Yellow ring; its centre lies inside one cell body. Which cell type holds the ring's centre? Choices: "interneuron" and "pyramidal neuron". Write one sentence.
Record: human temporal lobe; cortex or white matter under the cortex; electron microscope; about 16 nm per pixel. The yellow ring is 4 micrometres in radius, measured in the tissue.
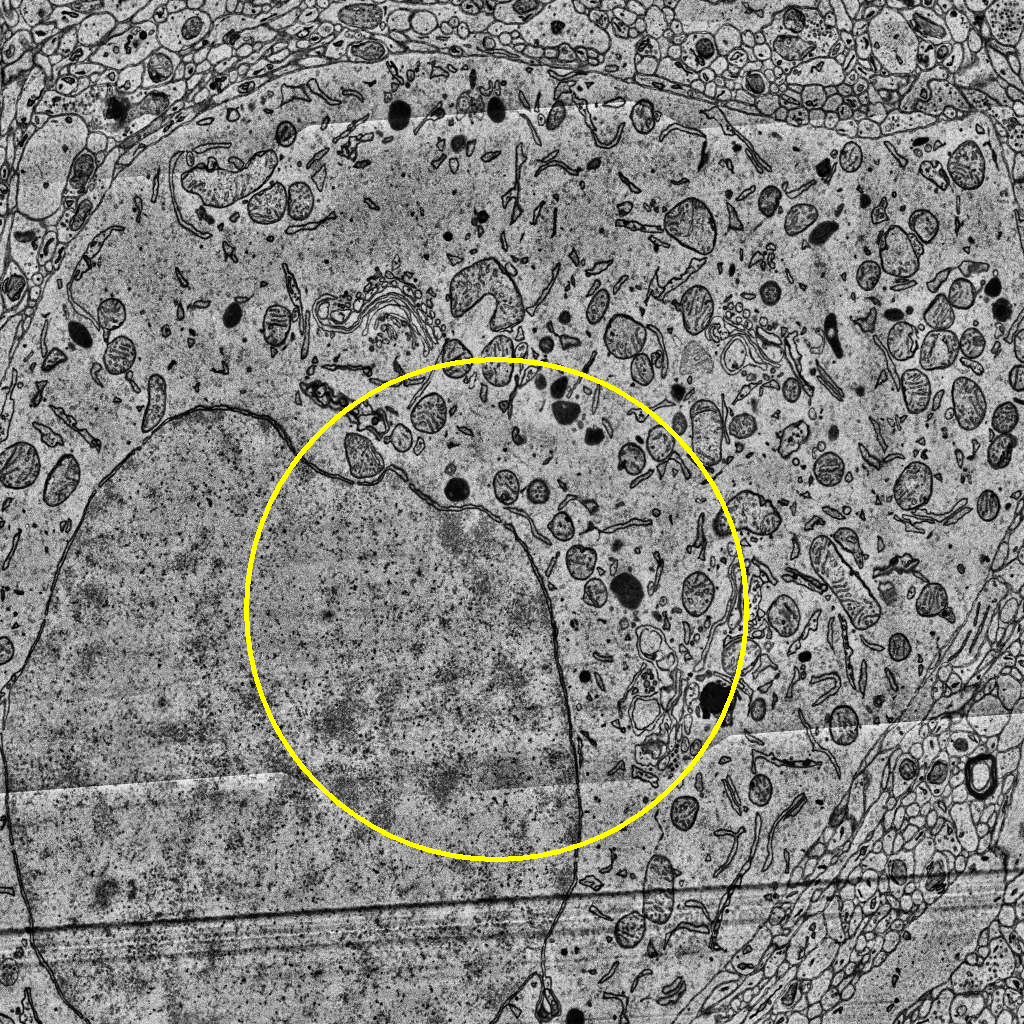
At the centre of the ring sits an interneuron.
